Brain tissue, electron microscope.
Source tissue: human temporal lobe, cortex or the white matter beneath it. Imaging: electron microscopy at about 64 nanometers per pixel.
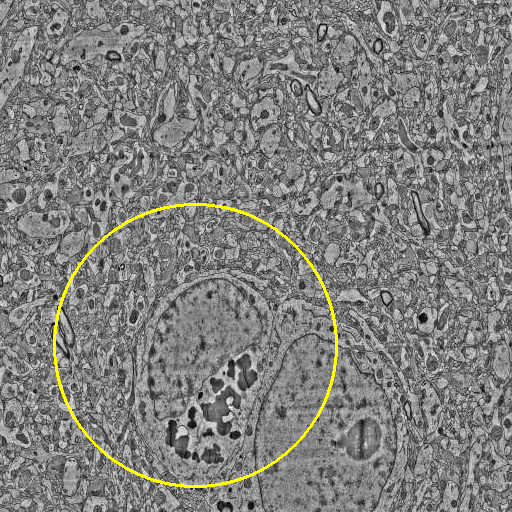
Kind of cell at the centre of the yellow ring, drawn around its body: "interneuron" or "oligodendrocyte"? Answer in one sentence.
The ring's centre falls on an interneuron.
